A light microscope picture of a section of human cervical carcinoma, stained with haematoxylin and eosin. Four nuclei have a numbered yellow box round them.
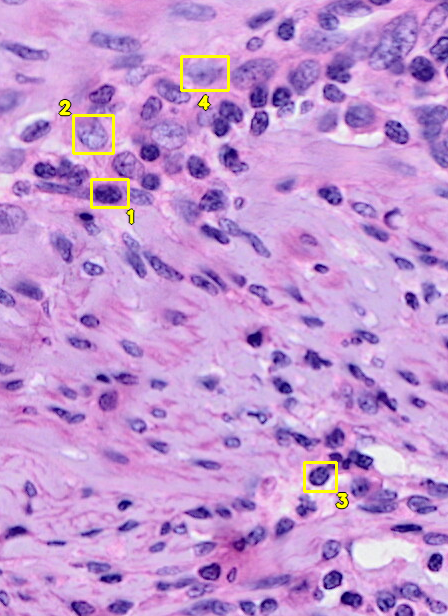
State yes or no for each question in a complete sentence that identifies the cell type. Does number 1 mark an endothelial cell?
No, cell 1 should be classed as a lymphocyte, not as an endothelial cell.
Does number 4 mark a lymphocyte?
No, the cell referred to as 4 is an endothelial cell, not a lymphocyte.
